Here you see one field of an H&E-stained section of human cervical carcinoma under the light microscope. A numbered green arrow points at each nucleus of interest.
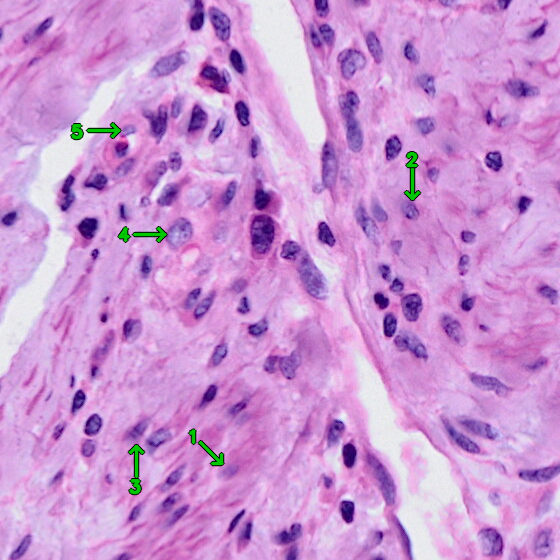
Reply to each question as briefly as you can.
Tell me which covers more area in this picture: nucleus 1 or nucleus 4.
4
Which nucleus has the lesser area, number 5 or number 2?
5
